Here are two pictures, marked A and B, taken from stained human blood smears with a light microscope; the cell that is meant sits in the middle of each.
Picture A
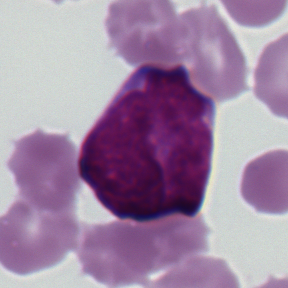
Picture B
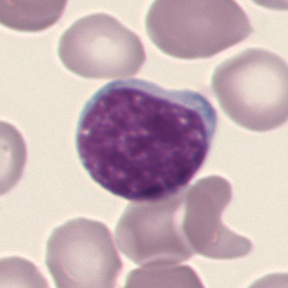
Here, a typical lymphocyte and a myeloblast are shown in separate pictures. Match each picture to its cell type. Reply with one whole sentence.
Picture A shows a myeloblast and picture B shows a typical lymphocyte.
